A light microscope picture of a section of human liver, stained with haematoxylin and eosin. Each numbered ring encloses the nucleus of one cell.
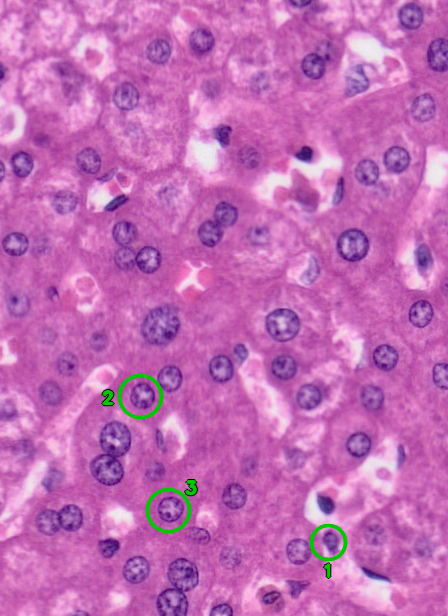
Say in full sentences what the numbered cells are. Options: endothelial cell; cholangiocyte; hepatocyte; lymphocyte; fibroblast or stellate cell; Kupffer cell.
Cell 1 is a lymphocyte. Cells 2 and 3 are hepatocytes.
